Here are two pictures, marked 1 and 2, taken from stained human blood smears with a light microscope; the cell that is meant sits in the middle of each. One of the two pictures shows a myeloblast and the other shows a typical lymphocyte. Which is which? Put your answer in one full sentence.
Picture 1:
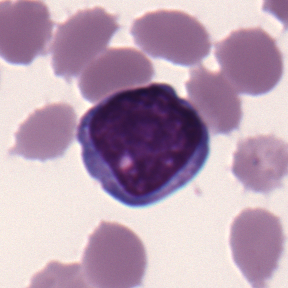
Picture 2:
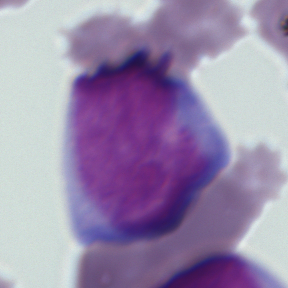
In picture 1 the cell is a typical lymphocyte; in picture 2, a myeloblast.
